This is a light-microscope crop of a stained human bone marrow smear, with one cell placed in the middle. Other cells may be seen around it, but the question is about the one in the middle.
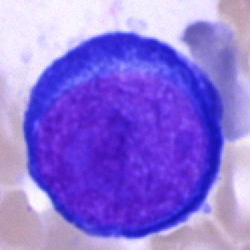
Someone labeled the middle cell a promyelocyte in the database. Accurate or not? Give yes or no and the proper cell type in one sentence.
No, the central cell here is a proerythroblast; calling it a promyelocyte is not right.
